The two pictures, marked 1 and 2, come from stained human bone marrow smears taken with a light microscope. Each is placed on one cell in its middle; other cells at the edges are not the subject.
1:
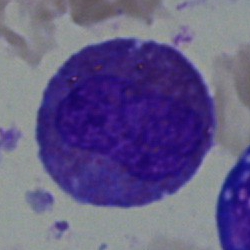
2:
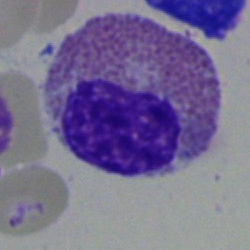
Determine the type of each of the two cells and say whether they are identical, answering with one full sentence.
Yes, the centre of both crops is taken up by eosinophils.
